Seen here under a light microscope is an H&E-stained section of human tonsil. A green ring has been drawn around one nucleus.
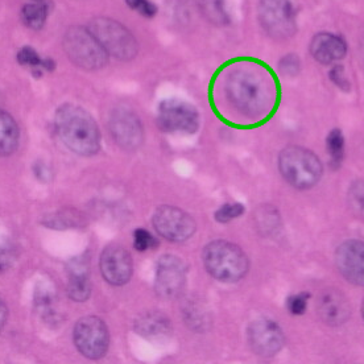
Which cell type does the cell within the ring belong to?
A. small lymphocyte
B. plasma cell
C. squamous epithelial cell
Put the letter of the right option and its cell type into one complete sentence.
According to option C, the cell within the ring is a squamous epithelial cell, and this is correct.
